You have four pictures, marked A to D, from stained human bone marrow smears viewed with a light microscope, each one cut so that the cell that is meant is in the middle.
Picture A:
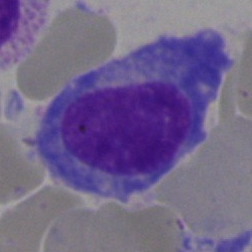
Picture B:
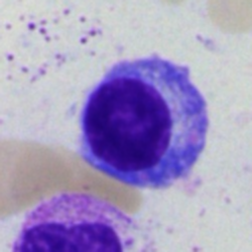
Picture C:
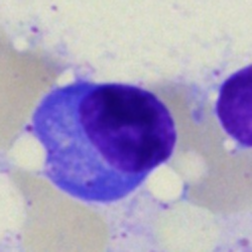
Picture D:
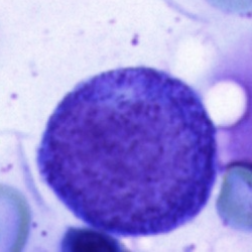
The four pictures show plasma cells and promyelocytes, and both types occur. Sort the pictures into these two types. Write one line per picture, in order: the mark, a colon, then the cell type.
A: plasma cell
B: plasma cell
C: plasma cell
D: promyelocyte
